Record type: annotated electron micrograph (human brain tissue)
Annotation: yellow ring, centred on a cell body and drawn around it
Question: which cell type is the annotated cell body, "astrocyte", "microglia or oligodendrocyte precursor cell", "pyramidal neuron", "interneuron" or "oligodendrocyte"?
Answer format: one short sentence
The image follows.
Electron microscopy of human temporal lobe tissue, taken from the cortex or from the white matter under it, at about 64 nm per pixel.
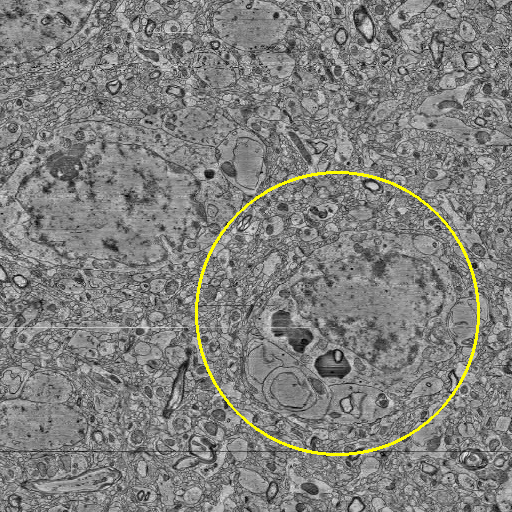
The annotated cell body is that of an interneuron.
